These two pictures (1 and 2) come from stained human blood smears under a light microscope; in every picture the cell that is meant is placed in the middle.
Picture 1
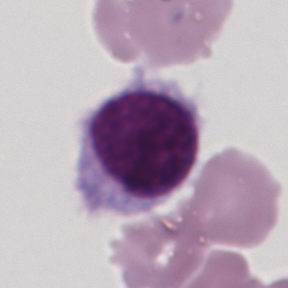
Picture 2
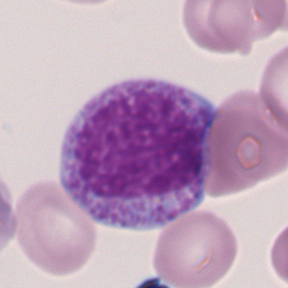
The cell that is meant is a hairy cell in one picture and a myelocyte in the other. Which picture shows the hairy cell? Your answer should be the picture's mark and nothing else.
1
